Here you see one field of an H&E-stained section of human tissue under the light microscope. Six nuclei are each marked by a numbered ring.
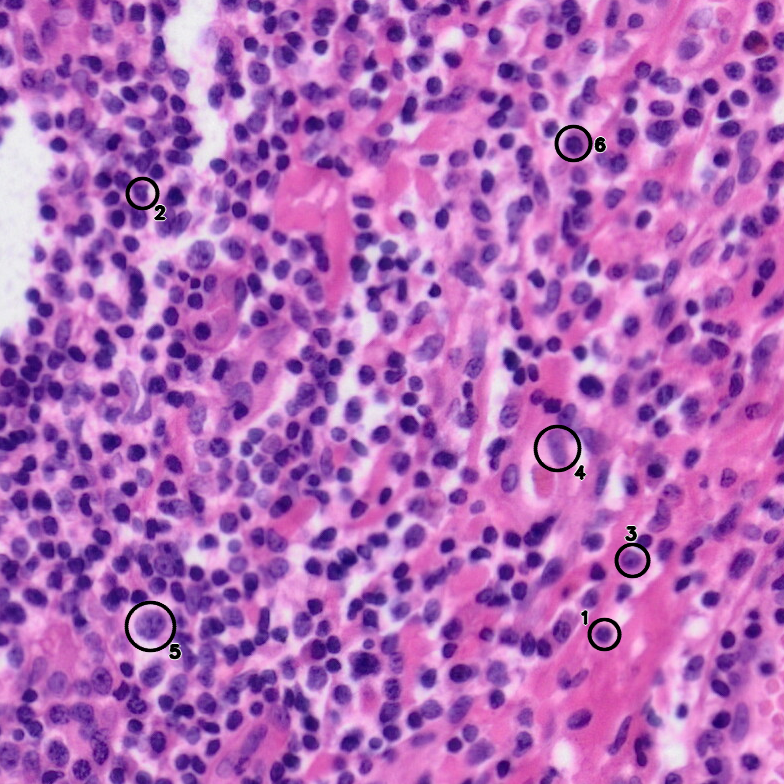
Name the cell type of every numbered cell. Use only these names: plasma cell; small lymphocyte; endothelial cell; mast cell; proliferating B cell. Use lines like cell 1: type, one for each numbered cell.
cell 1: mast cell
cell 2: small lymphocyte
cell 3: plasma cell
cell 4: endothelial cell
cell 5: proliferating B cell
cell 6: plasma cell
